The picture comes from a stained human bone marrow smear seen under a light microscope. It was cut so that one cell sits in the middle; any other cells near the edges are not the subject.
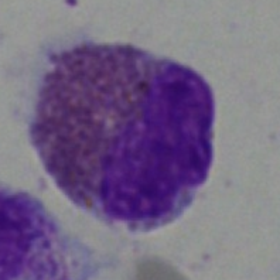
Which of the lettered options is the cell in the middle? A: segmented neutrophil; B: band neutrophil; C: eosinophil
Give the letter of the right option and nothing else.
C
